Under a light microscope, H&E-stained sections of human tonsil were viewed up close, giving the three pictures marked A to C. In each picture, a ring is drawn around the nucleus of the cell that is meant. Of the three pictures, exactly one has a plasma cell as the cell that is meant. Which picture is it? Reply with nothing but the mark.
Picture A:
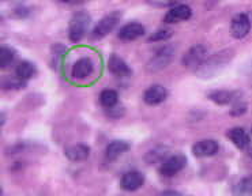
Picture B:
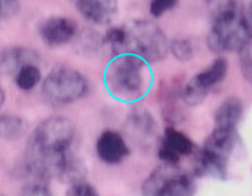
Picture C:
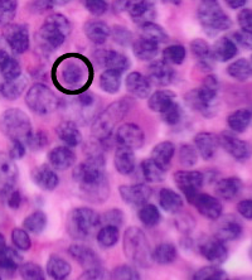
A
